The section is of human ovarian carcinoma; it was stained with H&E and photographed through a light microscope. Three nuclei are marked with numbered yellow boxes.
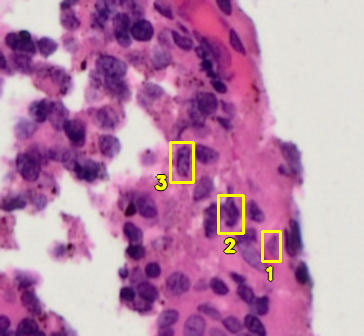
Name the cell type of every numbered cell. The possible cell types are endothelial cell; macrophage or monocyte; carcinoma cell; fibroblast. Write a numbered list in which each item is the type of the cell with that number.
1. endothelial cell
2. carcinoma cell
3. macrophage or monocyte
